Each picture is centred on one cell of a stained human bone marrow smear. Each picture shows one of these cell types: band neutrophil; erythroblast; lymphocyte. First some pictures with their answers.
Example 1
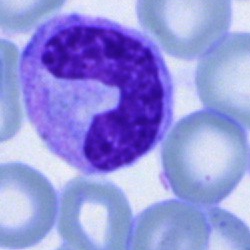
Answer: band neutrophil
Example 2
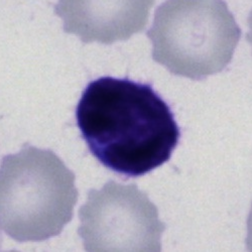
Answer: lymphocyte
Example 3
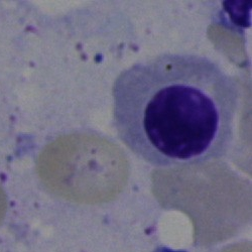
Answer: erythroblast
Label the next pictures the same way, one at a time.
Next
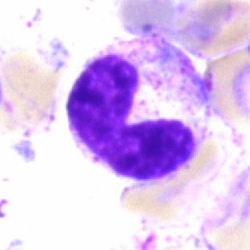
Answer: band neutrophil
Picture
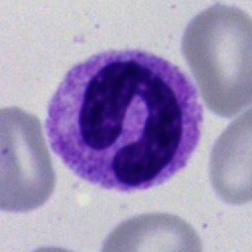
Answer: band neutrophil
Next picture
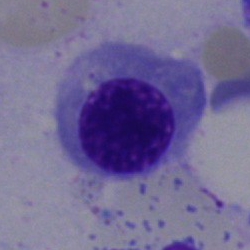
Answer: erythroblast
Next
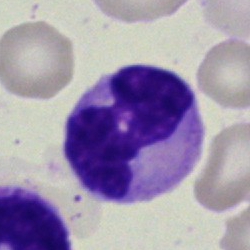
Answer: band neutrophil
